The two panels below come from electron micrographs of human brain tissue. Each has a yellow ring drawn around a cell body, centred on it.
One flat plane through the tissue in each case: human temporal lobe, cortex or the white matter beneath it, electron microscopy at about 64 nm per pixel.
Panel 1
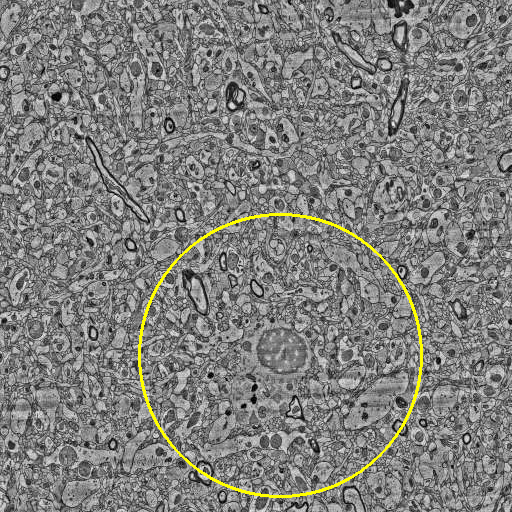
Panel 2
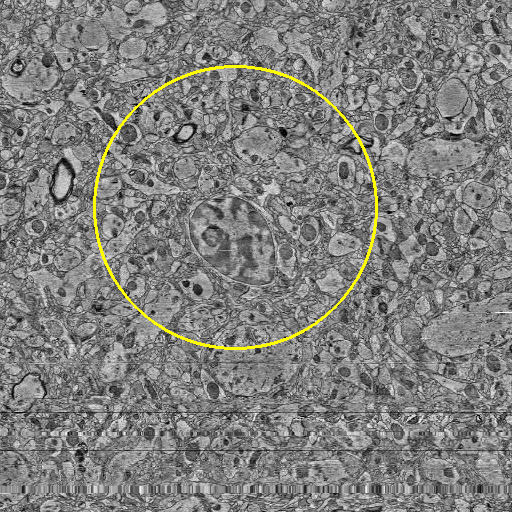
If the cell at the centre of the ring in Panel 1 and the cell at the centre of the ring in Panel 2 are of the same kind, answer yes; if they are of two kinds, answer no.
no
